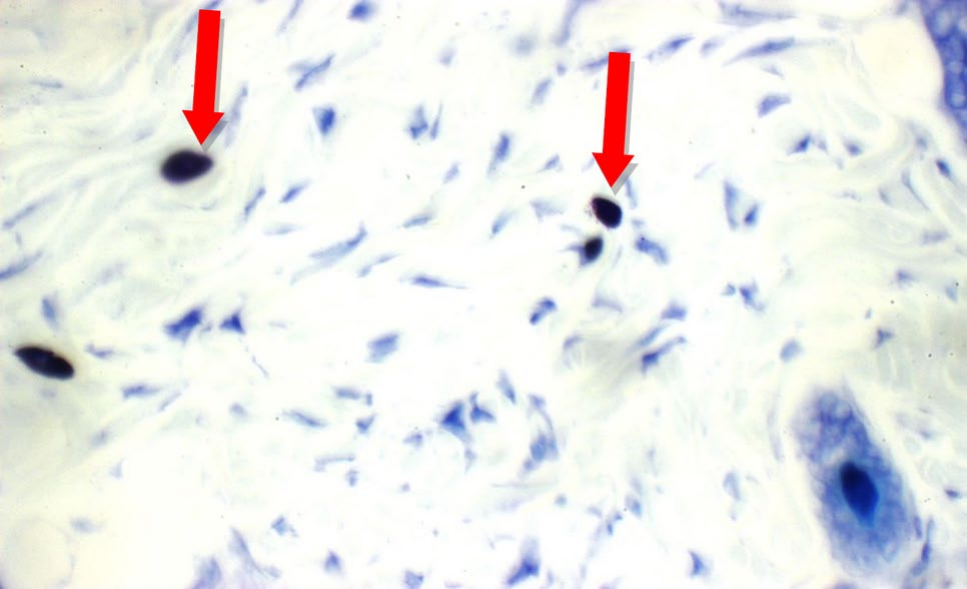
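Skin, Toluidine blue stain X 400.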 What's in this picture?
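Dermal connective tissue contains a few scattered mast cells among many fibroblasts. The mast cells are small oval cells stained a dense, dark purple, and they stand out sharply from the surrounding cells. The fibroblasts have slender, spindle-shaped or stellate nuclei stained pale blue. These cells lie in a loose, pale matrix of wavy collagen fibres.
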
